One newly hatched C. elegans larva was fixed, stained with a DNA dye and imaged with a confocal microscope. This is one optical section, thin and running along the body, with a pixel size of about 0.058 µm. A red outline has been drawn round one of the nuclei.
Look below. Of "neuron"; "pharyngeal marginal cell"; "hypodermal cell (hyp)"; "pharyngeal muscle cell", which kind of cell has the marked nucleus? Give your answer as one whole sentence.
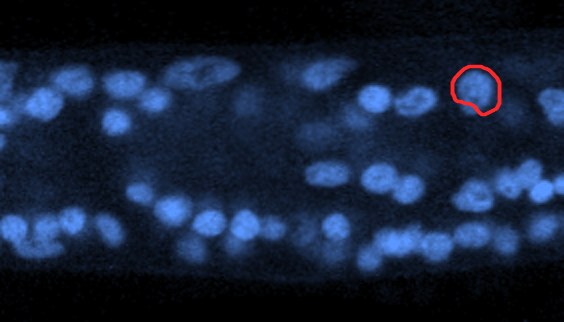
This is the nucleus of a pharyngeal muscle cell.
